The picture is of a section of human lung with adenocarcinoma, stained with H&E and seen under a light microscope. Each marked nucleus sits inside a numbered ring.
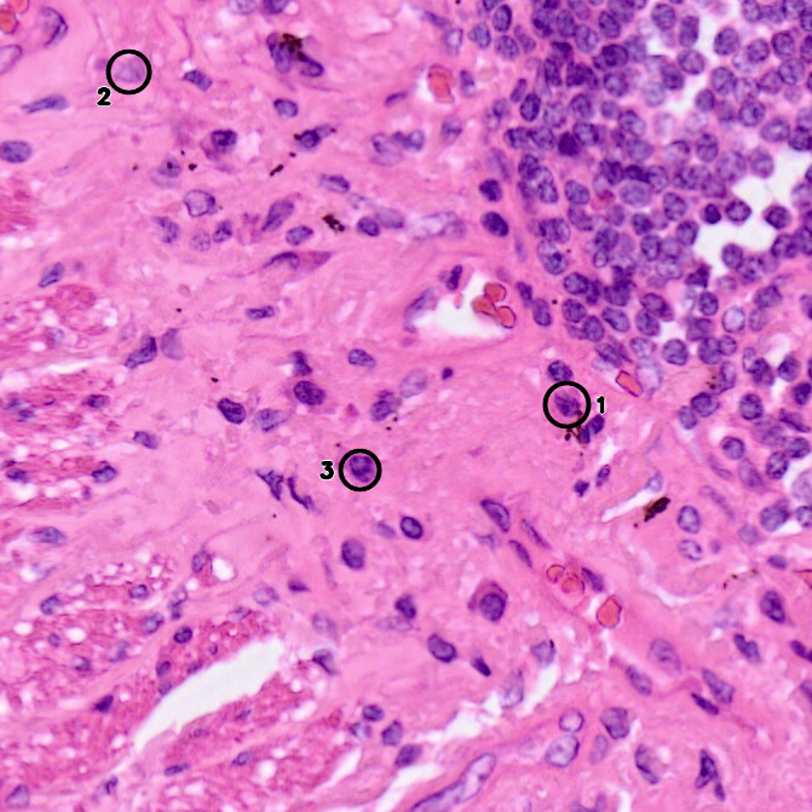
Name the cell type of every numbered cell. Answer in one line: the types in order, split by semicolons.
plasma cell; fibroblast; plasma cell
